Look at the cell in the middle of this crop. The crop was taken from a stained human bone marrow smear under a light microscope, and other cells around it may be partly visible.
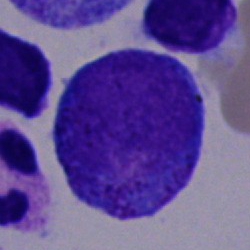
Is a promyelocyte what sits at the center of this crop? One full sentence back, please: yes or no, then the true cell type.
Yes, the cell centred in this crop is a promyelocyte.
